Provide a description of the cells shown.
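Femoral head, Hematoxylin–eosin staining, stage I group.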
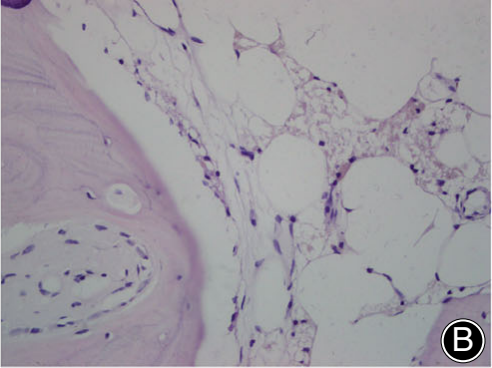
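On the left a thick band of pink, layered bone runs down the field, and within it a canal is lined by elongated dark nuclei. To the right the marrow space is filled with large, clear, round fat vacuoles of differing sizes. Between the vacuoles lies a loose, pale, net-like stroma carrying small spindle-shaped and oval purple nuclei. The cells are scattered rather than densely packed.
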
